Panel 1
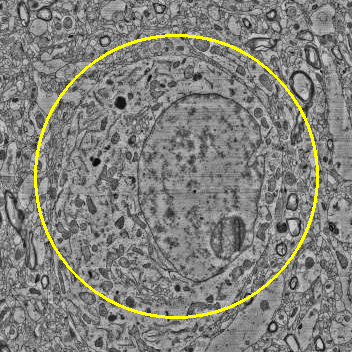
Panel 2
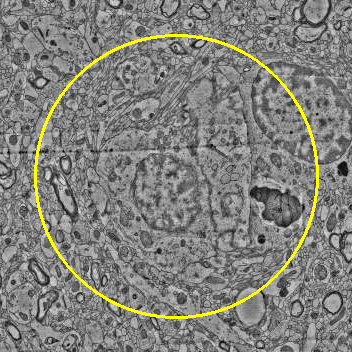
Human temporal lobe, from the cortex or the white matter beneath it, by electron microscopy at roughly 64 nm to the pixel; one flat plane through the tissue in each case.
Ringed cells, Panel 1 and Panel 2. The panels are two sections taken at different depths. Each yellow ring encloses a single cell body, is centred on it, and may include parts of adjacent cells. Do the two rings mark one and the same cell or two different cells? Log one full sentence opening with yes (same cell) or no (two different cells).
No, the two yellow rings each circle a different cell.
